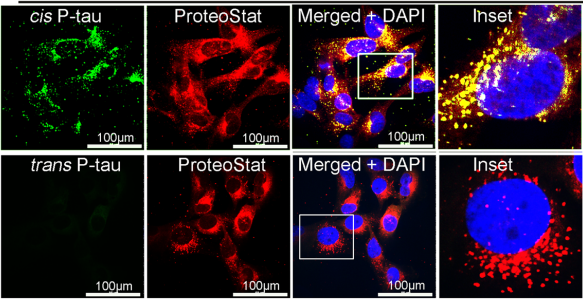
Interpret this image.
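In the upper row, bright green and red granules crowd the cytoplasm, and where they overlap the merged image turns yellow, forming dense clusters right beside the nuclei. In the lower row the green channel is almost empty, while red granules still gather in the cytoplasm, often heaped on one side of the nucleus. The enlarged views show a single nucleus with these granules packed around it, leaving the nucleus itself largely clear.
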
